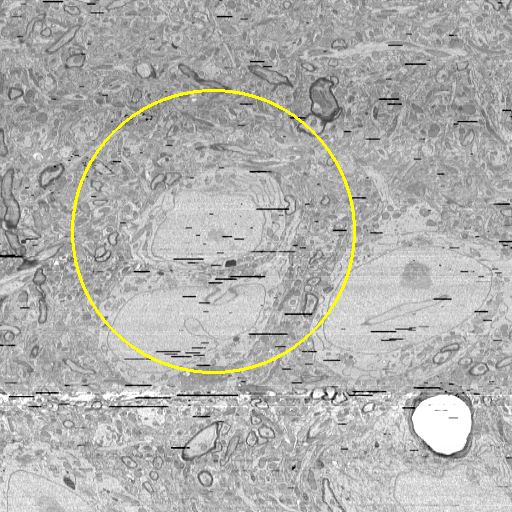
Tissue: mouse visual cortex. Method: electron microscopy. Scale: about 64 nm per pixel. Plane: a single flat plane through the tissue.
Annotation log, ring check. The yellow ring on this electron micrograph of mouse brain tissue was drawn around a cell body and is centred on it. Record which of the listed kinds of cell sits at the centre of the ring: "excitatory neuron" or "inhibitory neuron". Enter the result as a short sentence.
The cell at the centre of the ring is an inhibitory neuron.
